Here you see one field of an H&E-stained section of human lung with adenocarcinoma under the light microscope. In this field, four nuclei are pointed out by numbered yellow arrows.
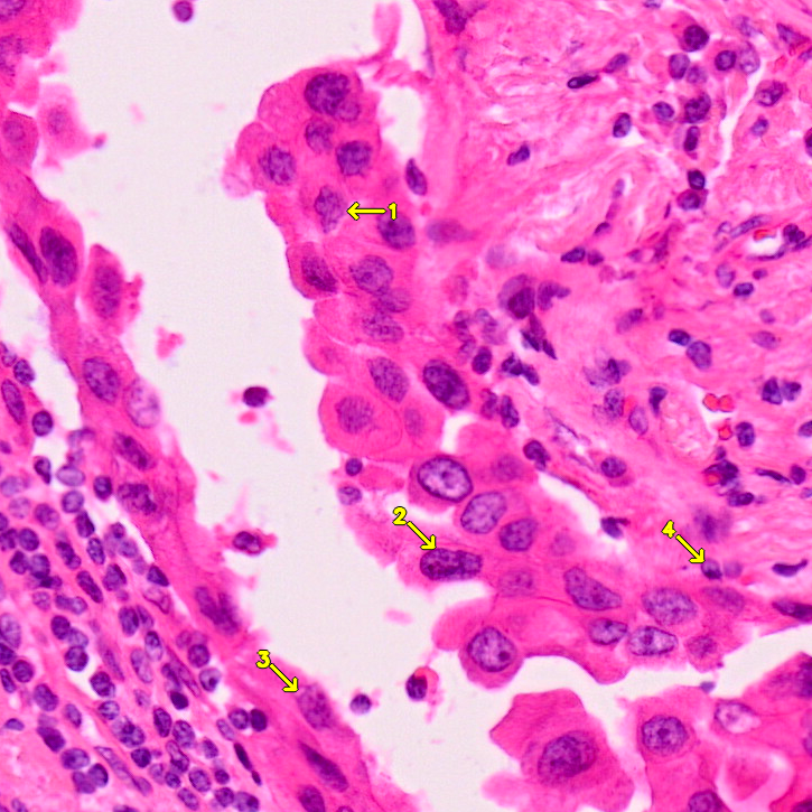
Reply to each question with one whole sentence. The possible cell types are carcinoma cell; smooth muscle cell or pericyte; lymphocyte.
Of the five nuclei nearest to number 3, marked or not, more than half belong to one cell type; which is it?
Most of the five nuclei nearest to number 3 are those of lymphocytes.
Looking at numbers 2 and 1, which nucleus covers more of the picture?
Nucleus 2 is larger, with an area about 2 times that of nucleus 1.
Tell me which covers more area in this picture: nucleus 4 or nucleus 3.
Nucleus 3 is larger, with an area about 4 times that of nucleus 4.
